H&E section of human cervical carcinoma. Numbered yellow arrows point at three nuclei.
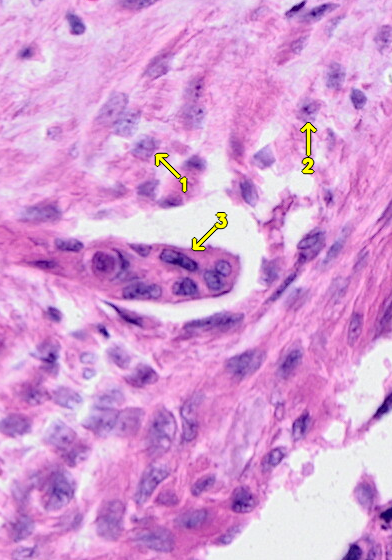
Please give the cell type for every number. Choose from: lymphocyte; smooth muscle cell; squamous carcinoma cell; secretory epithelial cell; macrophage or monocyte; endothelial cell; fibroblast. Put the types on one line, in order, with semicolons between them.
fibroblast; fibroblast; squamous carcinoma cell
